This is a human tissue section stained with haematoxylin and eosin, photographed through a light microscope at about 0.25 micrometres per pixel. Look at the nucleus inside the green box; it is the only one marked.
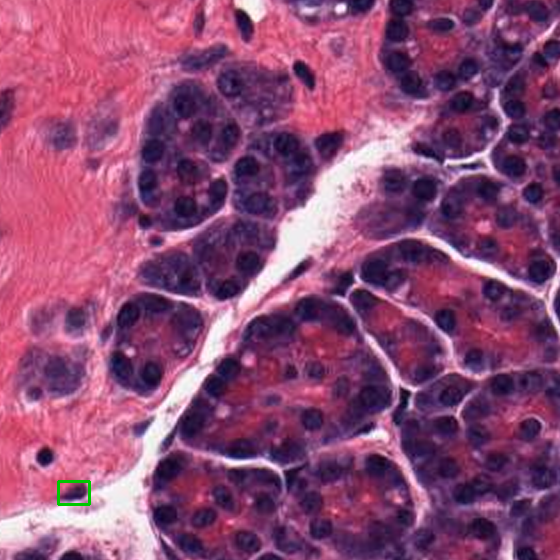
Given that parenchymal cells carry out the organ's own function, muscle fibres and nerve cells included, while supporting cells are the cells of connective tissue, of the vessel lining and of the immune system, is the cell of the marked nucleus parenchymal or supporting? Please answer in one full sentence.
It is to a supporting cell that the marked nucleus is assigned.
